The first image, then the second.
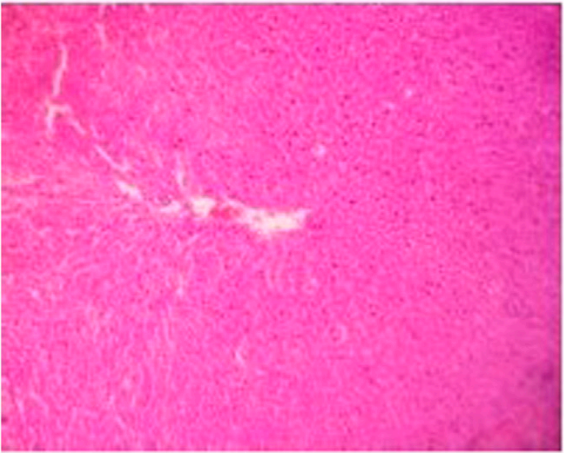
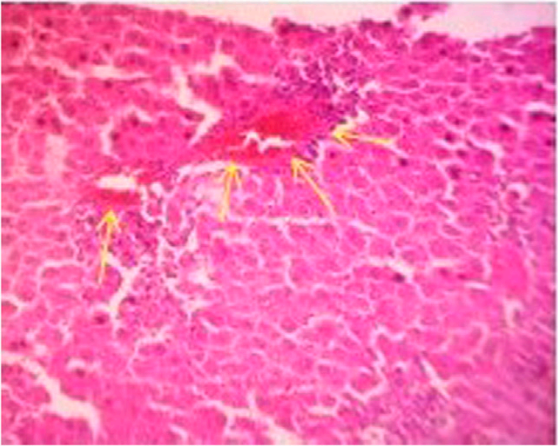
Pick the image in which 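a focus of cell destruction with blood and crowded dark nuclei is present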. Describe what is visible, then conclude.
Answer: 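First image: evenly pink, uniform cell sheets with no such focus.
Conclusion: the second image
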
